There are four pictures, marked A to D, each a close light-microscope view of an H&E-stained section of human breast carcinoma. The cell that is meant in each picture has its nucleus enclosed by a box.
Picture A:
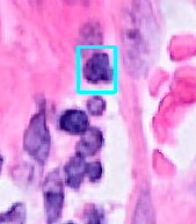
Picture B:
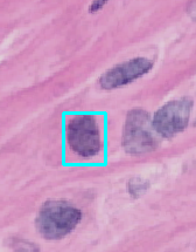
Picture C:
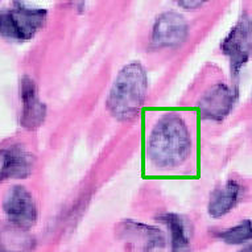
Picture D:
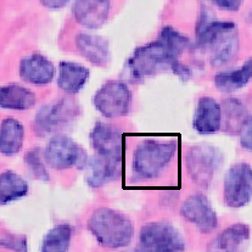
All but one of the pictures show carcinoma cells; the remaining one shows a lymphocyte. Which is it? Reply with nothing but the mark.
A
